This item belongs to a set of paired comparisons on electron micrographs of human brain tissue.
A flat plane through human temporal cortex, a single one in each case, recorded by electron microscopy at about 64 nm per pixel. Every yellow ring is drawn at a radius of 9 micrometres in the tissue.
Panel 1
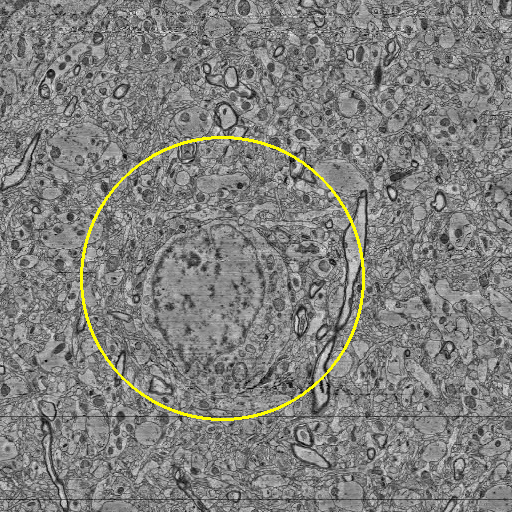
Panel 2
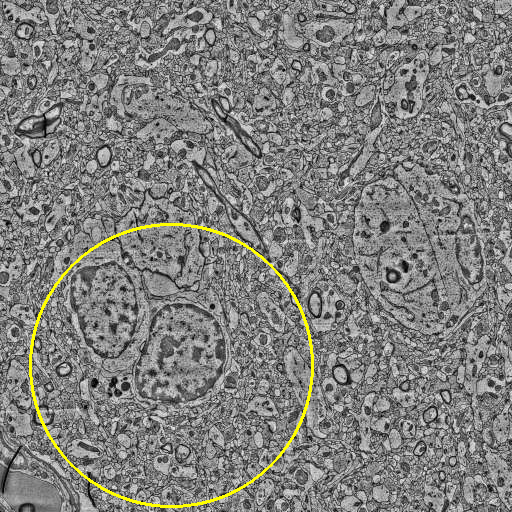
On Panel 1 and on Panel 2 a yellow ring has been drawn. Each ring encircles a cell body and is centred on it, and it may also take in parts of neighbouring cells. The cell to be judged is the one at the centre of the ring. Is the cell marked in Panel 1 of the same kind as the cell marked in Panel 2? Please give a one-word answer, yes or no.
no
